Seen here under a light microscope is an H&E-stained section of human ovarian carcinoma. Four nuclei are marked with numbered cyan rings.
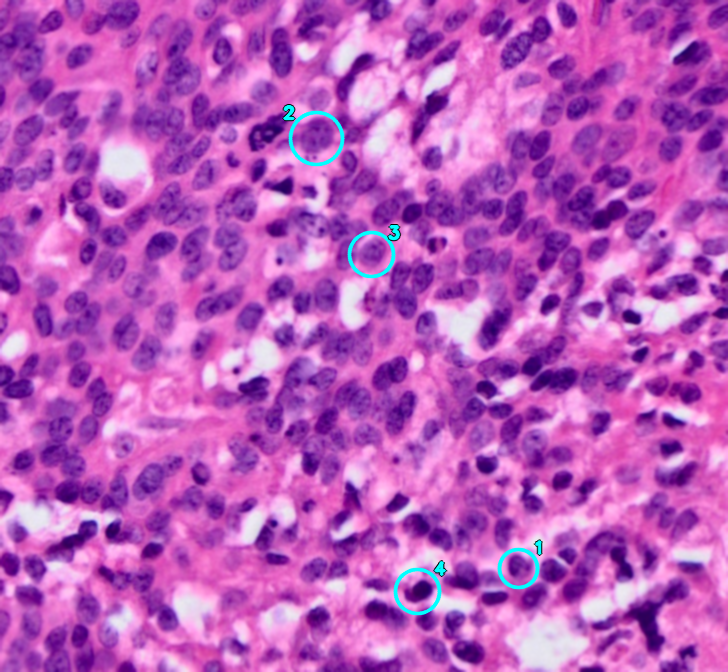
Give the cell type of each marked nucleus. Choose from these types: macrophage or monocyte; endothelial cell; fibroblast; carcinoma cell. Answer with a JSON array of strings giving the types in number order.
["macrophage or monocyte", "carcinoma cell", "carcinoma cell", "carcinoma cell"]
